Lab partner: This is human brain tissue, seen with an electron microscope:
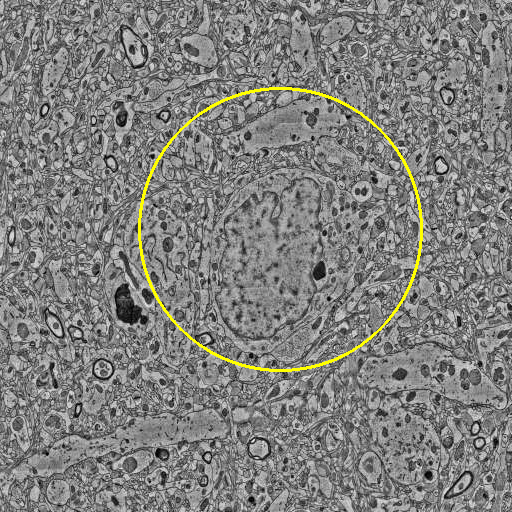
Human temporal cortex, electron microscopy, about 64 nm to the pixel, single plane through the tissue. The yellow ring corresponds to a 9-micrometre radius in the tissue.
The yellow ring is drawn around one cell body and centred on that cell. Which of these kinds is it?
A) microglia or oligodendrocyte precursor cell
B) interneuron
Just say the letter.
B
